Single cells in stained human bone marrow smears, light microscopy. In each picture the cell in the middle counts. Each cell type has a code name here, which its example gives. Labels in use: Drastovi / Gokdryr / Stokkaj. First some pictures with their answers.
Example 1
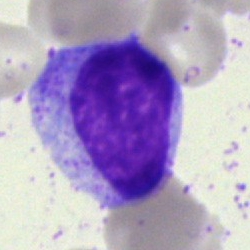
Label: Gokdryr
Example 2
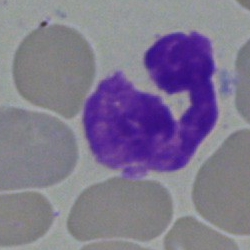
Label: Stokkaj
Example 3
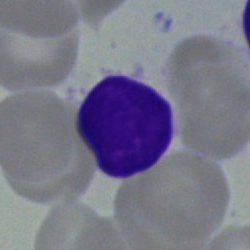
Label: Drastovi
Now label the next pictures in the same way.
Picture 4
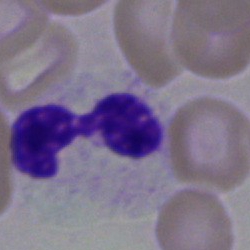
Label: Stokkaj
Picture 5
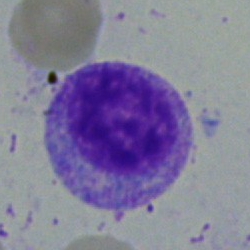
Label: Gokdryr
